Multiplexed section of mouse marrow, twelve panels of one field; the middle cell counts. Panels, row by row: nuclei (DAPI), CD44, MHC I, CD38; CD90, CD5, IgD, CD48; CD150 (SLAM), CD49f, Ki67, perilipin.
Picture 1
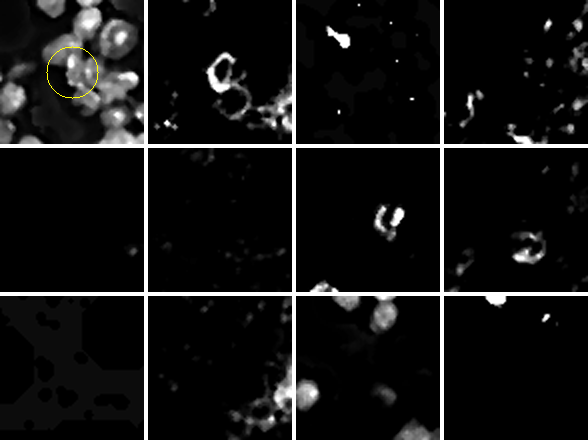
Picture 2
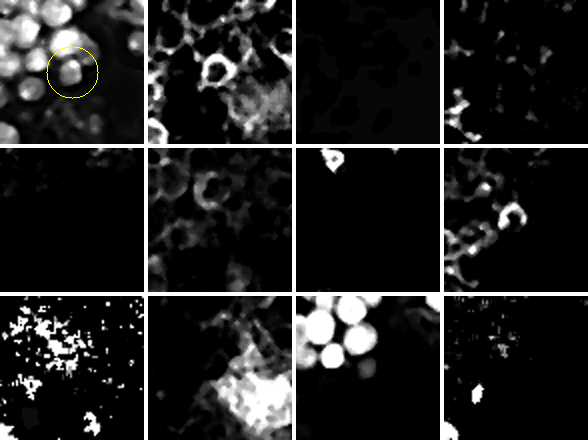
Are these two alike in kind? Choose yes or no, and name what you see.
No. First a neutrophil, second a monocyte.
